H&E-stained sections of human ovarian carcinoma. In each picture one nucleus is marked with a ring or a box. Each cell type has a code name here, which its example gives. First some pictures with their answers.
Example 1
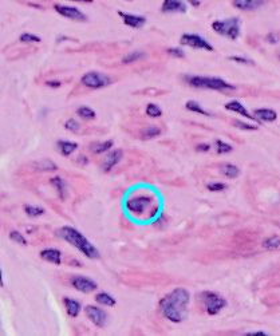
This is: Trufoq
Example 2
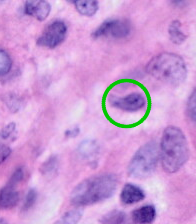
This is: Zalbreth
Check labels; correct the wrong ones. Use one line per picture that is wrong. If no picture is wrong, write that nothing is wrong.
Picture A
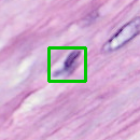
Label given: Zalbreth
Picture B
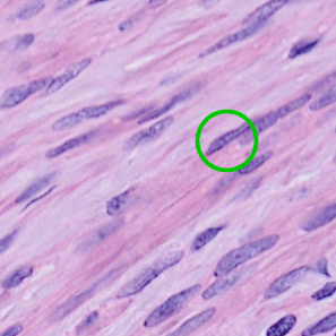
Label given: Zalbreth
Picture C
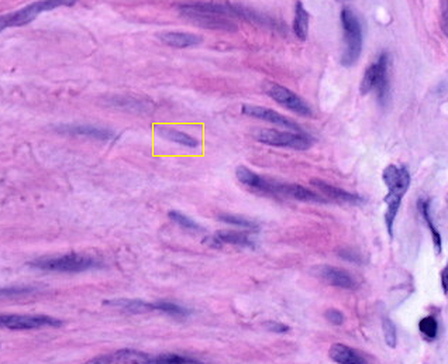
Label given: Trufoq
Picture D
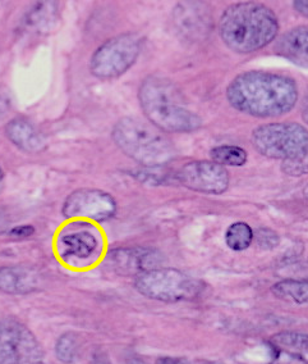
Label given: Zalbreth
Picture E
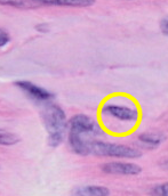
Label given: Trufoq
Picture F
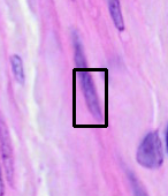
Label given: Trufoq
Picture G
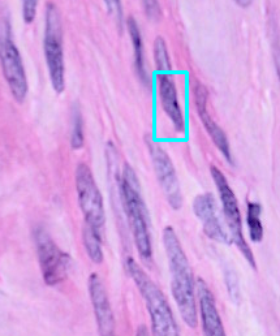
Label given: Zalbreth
B: Trufoq, not Zalbreth
G: Trufoq, not Zalbreth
